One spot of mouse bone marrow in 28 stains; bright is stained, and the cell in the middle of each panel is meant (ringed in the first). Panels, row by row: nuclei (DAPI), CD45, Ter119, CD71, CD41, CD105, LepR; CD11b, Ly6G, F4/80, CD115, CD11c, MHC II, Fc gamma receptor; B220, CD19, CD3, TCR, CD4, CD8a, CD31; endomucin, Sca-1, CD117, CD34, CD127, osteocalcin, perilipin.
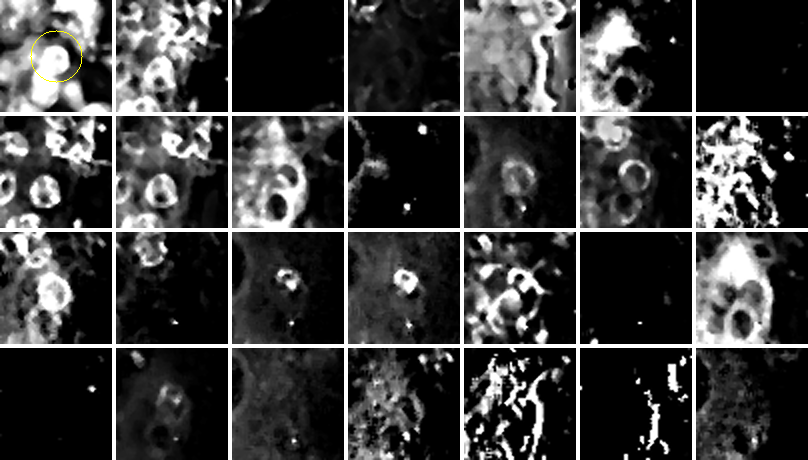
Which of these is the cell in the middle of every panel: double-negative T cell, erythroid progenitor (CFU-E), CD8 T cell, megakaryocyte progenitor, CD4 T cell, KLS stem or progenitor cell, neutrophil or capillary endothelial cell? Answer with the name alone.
CD4 T cell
